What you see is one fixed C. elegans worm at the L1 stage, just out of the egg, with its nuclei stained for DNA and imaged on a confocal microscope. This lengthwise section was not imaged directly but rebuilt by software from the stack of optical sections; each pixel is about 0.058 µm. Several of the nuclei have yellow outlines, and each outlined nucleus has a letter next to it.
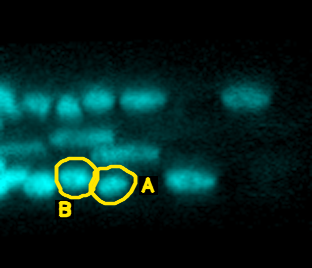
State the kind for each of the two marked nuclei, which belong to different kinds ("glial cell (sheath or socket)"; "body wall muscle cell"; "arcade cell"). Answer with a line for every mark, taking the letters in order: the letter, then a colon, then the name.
A: glial cell (sheath or socket)
B: arcade cell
